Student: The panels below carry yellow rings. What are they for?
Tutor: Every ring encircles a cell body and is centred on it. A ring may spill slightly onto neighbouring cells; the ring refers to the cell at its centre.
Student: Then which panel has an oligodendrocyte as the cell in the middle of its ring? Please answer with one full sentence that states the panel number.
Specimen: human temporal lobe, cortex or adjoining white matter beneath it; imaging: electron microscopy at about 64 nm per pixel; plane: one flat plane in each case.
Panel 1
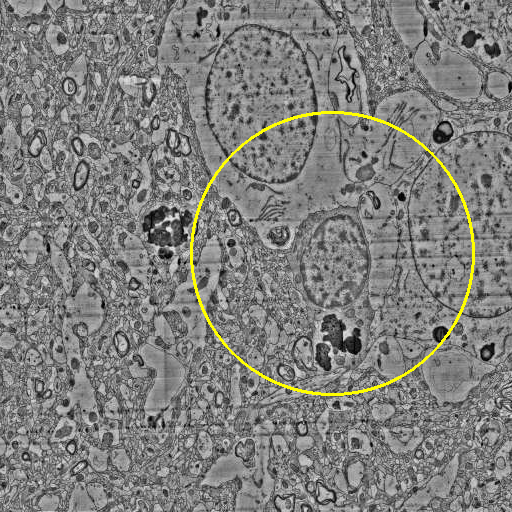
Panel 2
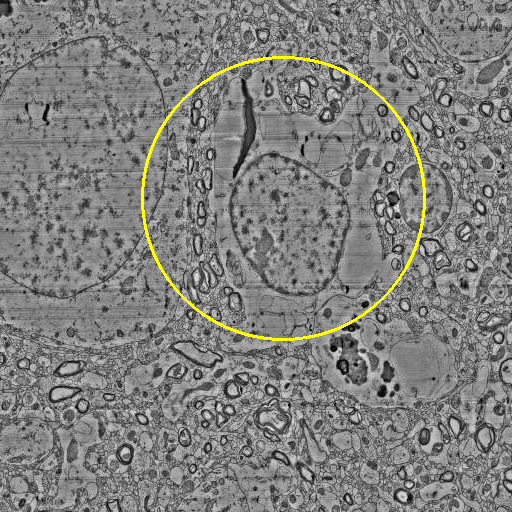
In Panel 1, the cell centred in the ring is the one sought.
